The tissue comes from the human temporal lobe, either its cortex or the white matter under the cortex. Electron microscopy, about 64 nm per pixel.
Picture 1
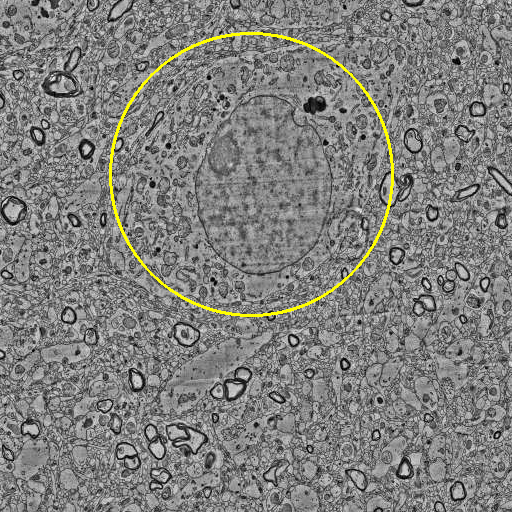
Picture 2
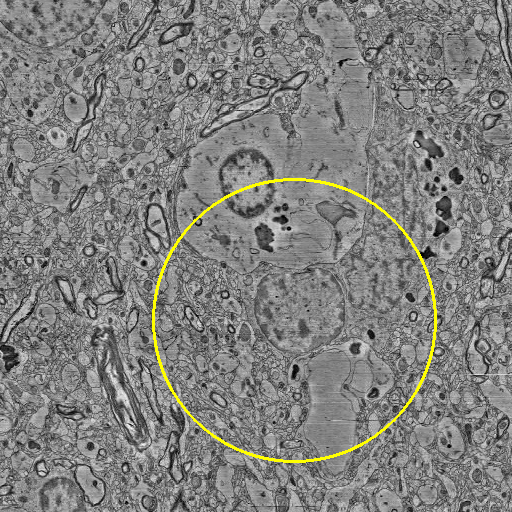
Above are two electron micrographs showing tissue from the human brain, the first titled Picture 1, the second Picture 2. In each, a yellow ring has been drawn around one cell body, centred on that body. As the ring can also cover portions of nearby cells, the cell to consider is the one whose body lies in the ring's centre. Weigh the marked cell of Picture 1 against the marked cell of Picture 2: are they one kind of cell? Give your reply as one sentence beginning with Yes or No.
No, the two cells sitting at the ring centres in the pictures are of two kinds.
